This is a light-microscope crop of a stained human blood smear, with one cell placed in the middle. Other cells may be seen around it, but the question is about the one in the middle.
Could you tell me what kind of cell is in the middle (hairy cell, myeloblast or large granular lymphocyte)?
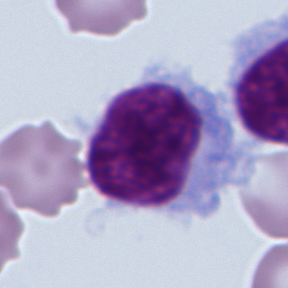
hairy cell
